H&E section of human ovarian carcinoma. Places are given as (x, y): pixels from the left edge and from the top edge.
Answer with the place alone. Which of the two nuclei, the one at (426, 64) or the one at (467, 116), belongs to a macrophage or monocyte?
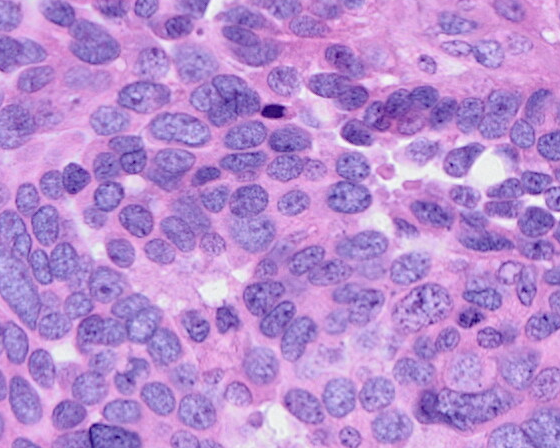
(426, 64)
